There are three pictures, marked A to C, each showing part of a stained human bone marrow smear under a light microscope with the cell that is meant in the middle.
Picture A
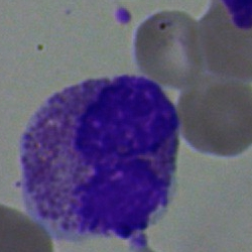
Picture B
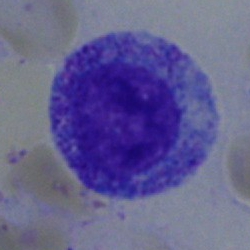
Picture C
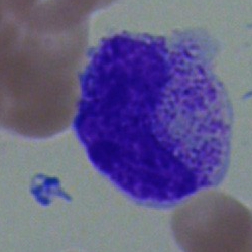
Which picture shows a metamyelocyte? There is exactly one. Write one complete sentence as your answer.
Picture C is the one that shows the metamyelocyte.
